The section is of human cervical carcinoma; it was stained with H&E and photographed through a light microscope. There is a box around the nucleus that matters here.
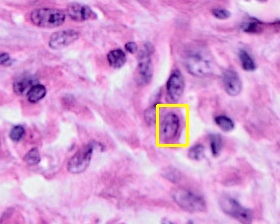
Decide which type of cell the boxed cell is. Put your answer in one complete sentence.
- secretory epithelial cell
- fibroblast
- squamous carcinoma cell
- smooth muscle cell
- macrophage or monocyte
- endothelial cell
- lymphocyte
For cell typing purposes, the boxed cell is a macrophage or monocyte.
